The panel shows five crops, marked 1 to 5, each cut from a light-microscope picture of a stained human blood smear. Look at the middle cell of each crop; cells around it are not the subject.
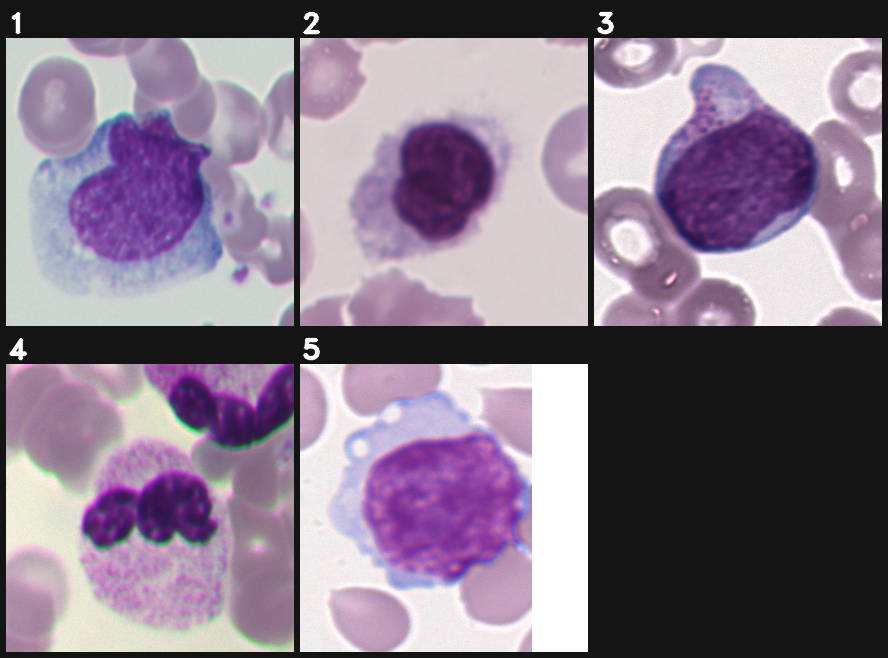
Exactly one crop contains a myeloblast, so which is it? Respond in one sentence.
The one showing a myeloblast is the crop labelled 5.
